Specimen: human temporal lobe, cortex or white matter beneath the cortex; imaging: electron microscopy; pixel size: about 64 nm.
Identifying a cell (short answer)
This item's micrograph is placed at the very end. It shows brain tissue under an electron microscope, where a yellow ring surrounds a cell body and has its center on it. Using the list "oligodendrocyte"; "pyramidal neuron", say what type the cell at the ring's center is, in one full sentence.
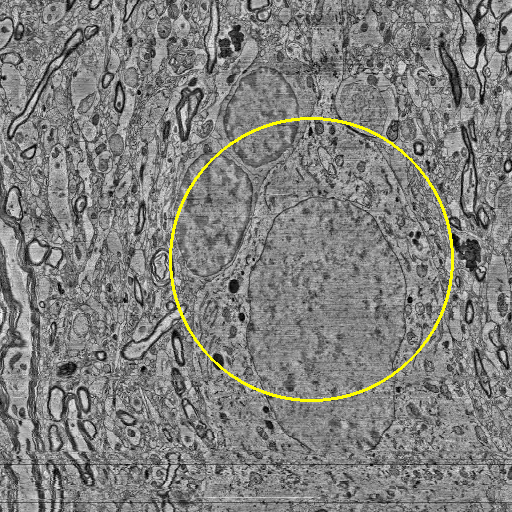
This picture shows a pyramidal neuron at the center of the yellow ring drawn on it.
